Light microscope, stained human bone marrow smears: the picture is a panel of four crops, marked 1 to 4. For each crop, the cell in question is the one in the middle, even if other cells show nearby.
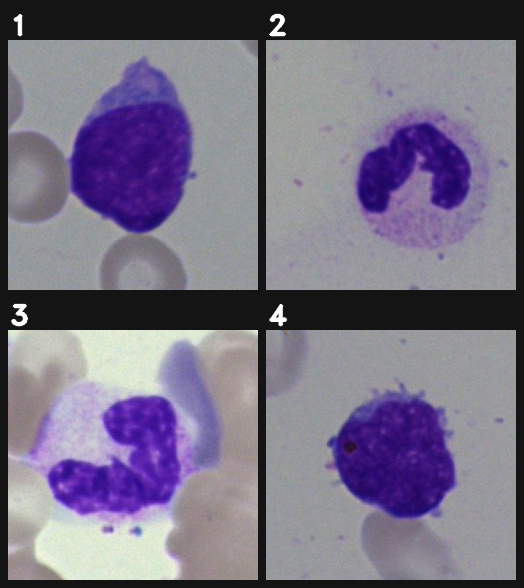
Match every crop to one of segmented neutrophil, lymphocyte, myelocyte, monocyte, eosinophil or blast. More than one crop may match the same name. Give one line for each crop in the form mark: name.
1: blast
2: segmented neutrophil
3: segmented neutrophil
4: blast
